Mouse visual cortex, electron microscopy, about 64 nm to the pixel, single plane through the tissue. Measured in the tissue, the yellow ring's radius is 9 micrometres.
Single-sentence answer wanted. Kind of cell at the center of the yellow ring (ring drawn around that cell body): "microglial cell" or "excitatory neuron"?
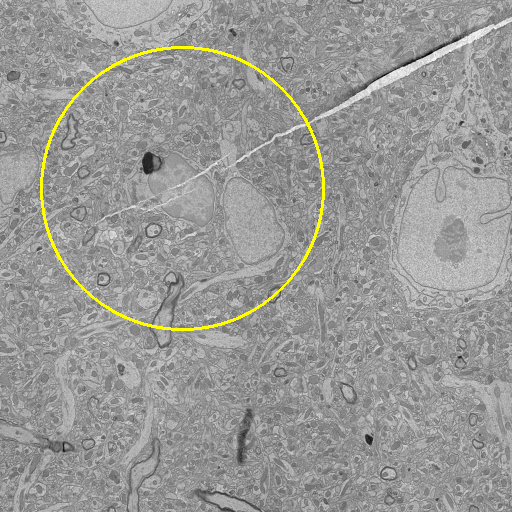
The cell centered in the ring is a microglial cell.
